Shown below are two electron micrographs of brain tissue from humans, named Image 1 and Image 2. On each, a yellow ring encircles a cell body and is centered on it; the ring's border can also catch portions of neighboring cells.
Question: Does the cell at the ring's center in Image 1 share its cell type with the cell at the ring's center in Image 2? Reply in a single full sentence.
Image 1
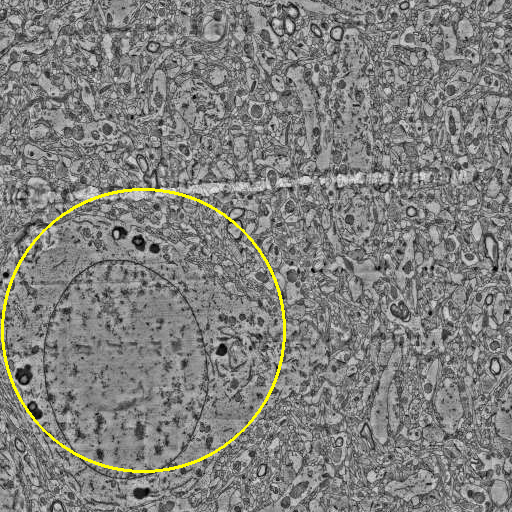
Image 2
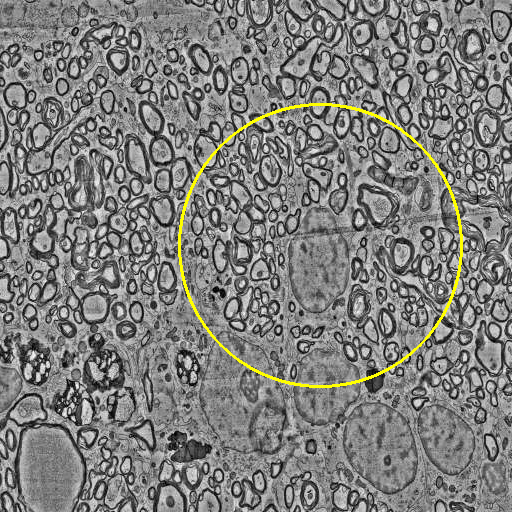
No, the two cells at the ring centers, in Image 1 and Image 2, are of two cell types.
